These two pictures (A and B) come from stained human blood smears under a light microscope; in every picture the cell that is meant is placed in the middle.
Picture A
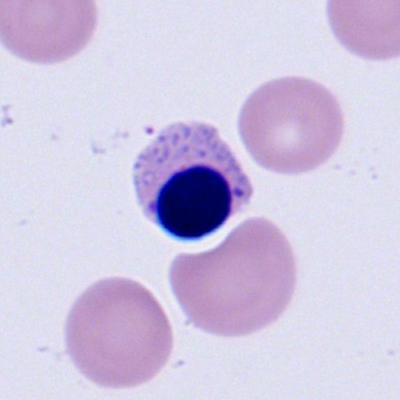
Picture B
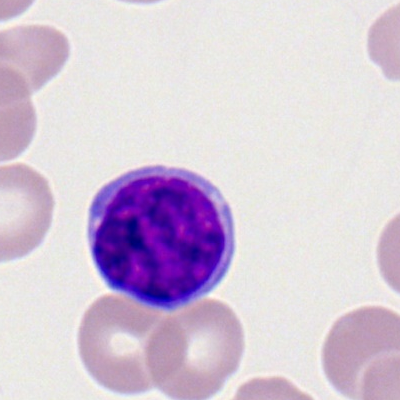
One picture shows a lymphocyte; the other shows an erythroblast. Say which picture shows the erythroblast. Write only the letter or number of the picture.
A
